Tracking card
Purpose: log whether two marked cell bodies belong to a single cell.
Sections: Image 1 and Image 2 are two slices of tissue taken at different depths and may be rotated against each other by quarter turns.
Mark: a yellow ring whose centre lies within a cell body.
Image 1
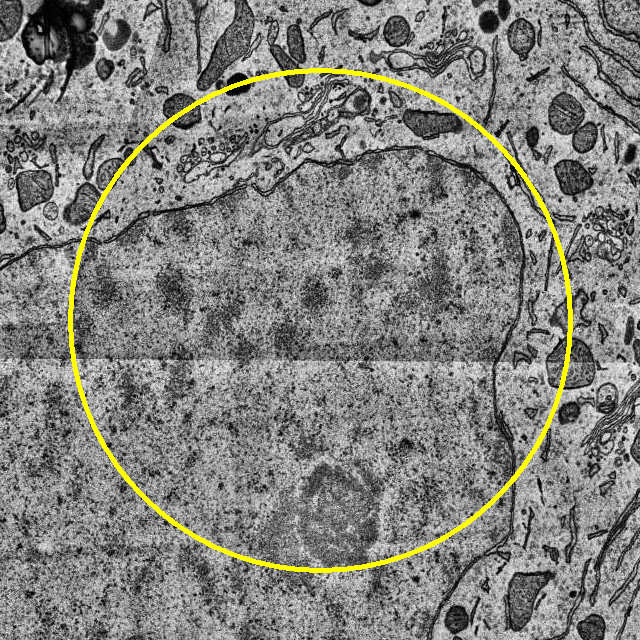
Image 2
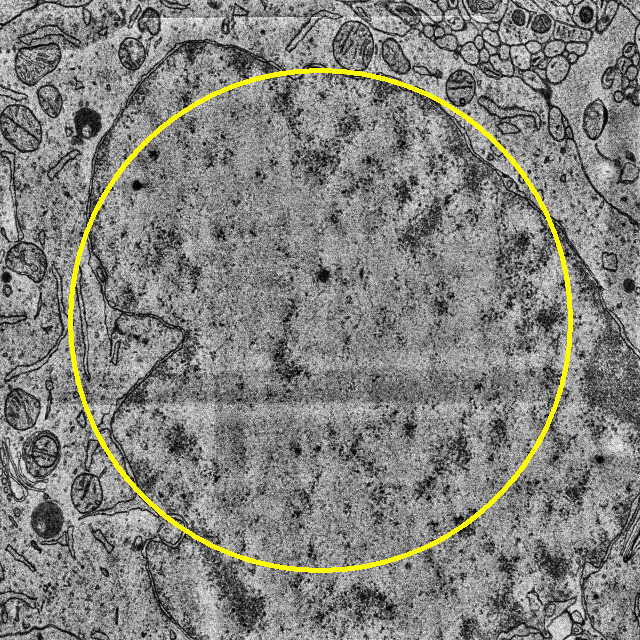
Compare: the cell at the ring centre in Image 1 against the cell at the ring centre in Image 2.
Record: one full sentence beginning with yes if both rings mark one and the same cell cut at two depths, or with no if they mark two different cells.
No, the cells within these rings are two separate cells.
